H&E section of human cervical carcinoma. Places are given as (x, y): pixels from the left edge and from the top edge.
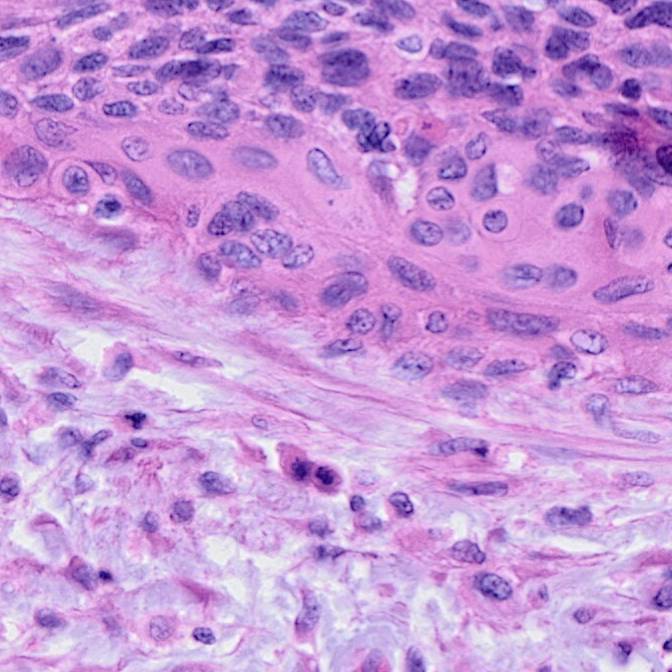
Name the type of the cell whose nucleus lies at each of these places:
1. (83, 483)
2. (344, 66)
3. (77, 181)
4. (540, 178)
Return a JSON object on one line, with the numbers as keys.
{"1": "fibroblast", "2": "squamous carcinoma cell", "3": "squamous carcinoma cell", "4": "squamous carcinoma cell"}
